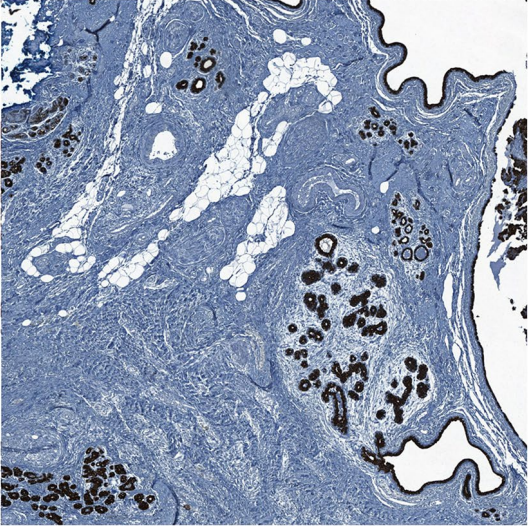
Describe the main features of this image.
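Breast tissue with mammary lobules in fibroadipose stroma. The epithelium of the acini and ducts is stained dark brown, so each lobule appears as a cluster of many small brown rings and branching brown cords, some with open central lumens. The surrounding stroma is pale blue, loose within the lobules and denser, fibrous between them. Adipocytes form groups of empty white polygonal spaces in bands across the upper half. A wavy brown-lined surface runs along the right margin, and further brown epithelial clusters lie at the lower left and upper edges.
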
